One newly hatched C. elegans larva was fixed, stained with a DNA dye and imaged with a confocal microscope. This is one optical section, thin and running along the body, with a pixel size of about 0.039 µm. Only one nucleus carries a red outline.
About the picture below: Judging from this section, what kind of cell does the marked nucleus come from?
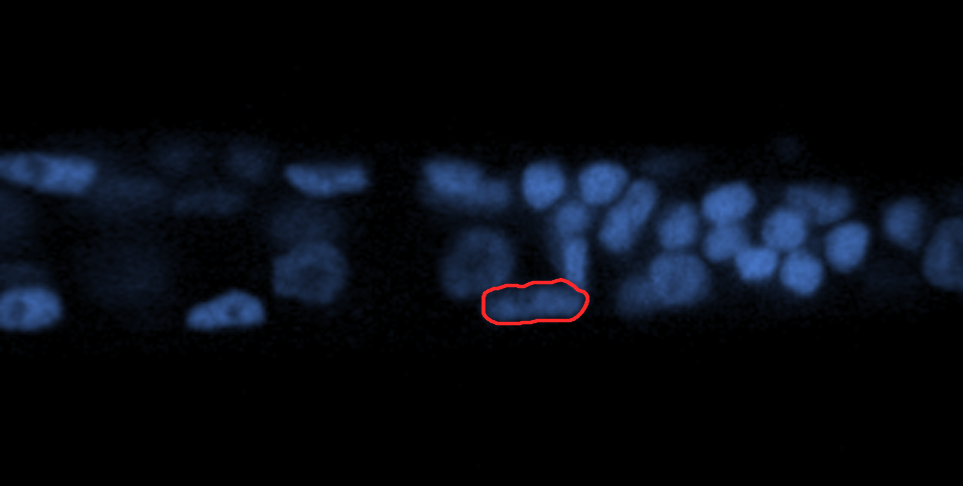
body wall muscle cell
